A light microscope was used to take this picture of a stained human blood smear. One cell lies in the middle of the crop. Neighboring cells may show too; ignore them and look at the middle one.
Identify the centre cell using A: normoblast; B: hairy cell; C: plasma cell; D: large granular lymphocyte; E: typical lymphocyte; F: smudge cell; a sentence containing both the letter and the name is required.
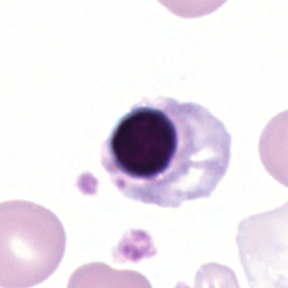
Option A stands as correct, the central cell being a normoblast.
